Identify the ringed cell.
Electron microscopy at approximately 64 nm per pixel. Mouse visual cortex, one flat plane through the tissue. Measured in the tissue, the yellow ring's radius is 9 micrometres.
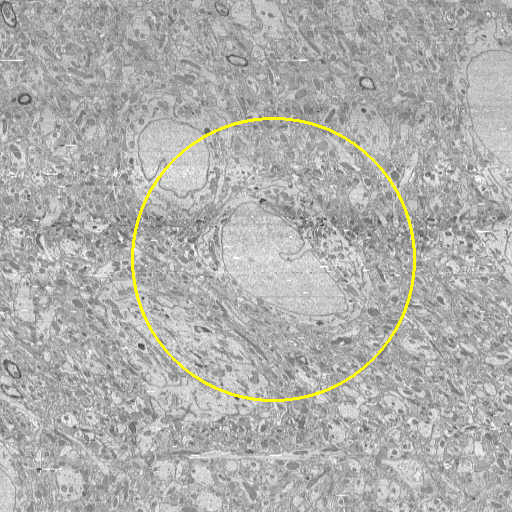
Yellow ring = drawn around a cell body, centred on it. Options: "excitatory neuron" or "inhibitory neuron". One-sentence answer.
What the ring is centred on is an inhibitory neuron.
